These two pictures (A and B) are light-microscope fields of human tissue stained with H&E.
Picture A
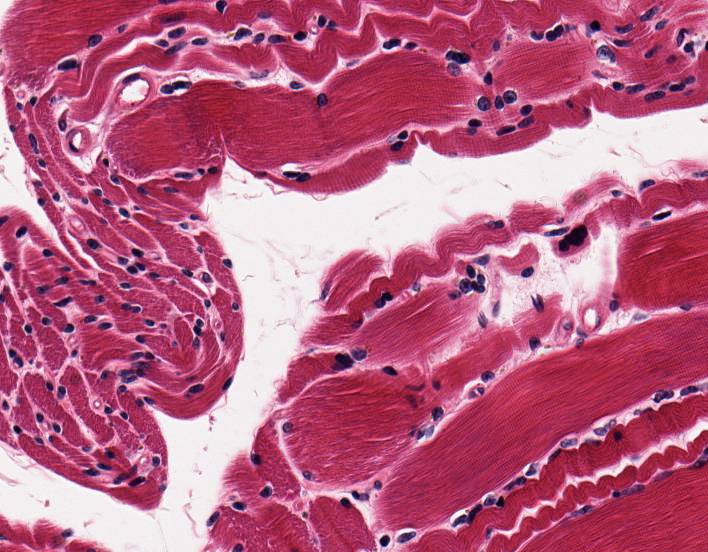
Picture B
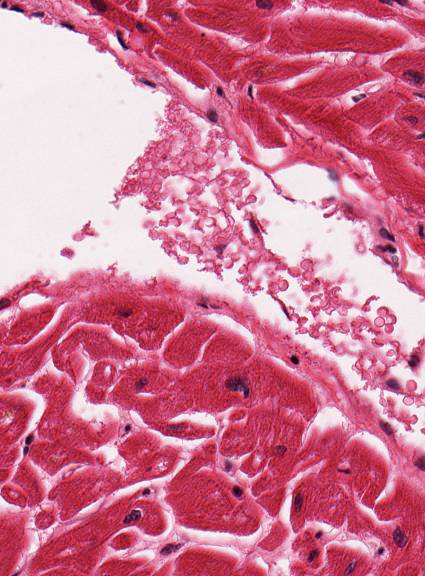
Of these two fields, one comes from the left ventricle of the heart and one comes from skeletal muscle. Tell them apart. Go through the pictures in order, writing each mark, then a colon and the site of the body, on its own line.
A: skeletal muscle
B: left ventricle of the heart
